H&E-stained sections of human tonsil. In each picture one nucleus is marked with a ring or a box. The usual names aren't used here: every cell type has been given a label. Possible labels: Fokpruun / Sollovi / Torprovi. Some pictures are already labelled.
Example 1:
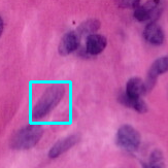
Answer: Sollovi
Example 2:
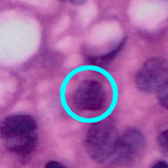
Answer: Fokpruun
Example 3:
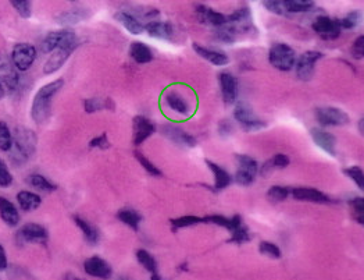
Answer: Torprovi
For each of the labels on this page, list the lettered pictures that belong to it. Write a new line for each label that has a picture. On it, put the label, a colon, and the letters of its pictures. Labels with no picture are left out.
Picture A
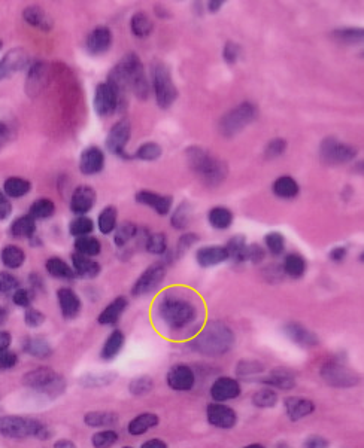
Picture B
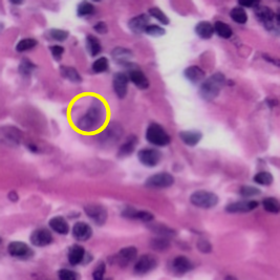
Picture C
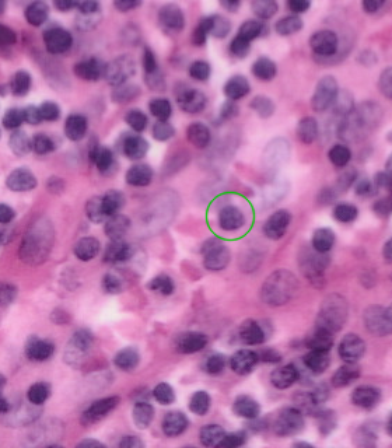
Sollovi: A, B, C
